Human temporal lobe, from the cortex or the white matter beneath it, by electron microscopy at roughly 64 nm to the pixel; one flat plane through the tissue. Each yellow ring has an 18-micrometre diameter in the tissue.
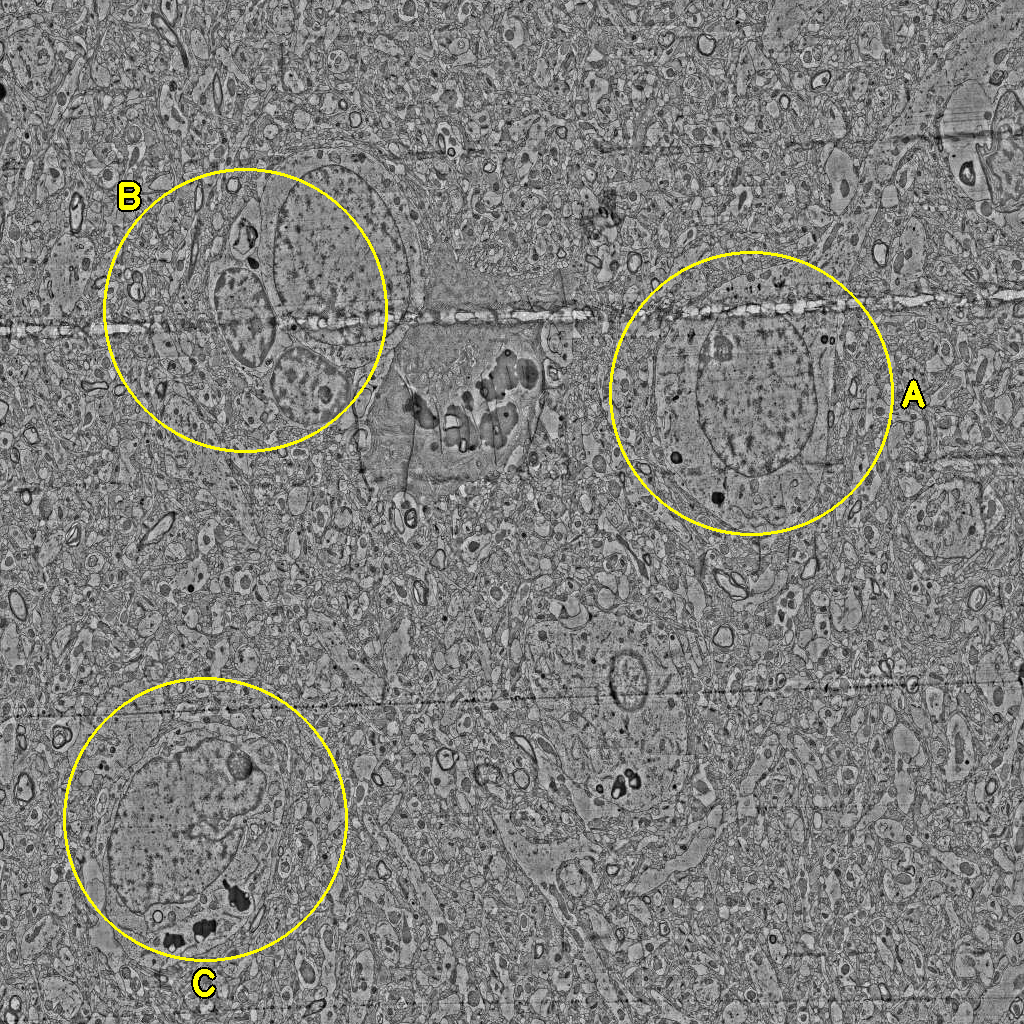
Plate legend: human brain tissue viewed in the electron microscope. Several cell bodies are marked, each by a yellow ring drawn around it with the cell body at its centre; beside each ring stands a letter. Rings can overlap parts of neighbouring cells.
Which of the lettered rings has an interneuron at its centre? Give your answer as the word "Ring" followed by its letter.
Ring C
